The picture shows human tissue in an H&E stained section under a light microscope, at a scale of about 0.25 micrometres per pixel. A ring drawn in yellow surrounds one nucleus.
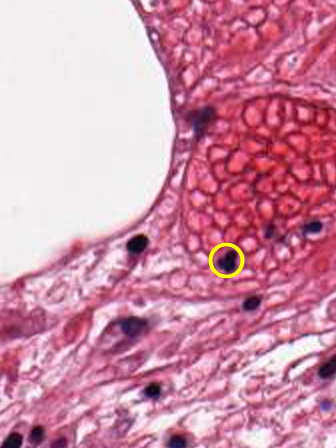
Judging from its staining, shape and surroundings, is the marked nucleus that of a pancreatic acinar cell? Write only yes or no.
no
